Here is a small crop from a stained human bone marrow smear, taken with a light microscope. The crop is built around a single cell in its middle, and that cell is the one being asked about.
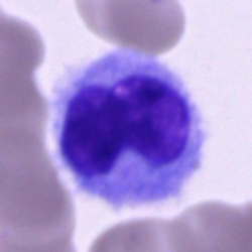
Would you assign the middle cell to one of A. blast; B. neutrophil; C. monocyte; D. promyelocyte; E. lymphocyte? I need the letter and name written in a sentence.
The centrally positioned cell is a monocyte, consistent with option C, which is correct.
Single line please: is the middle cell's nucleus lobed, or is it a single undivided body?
What stands out is a nucleus forming one compact round, oval or kidney-shaped mass.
